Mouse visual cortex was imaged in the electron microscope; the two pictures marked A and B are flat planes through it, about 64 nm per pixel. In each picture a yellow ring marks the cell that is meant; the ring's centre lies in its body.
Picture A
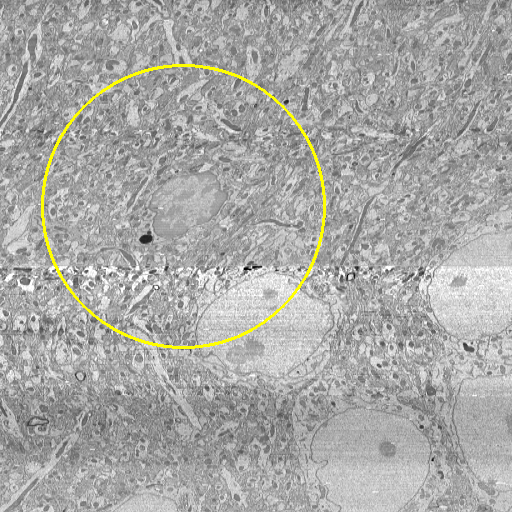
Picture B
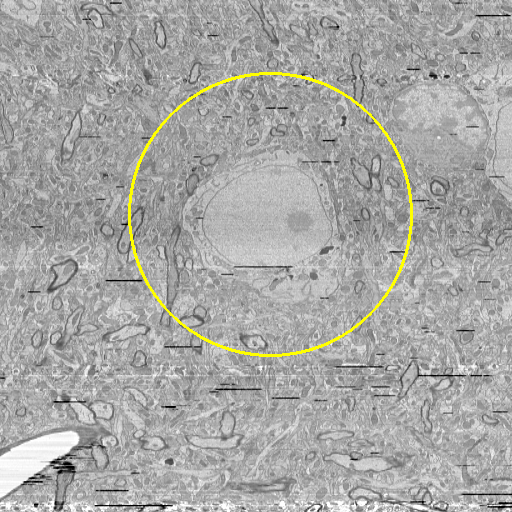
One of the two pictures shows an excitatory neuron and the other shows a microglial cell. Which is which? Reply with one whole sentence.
Picture A shows a microglial cell and picture B shows an excitatory neuron.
